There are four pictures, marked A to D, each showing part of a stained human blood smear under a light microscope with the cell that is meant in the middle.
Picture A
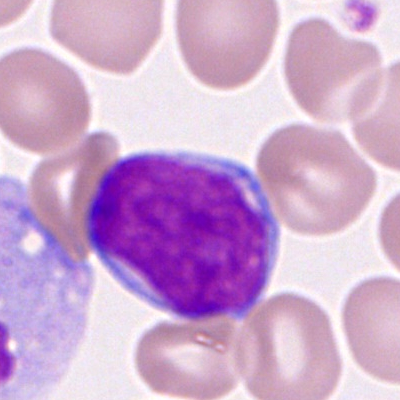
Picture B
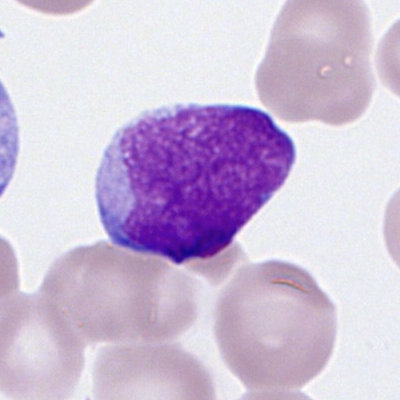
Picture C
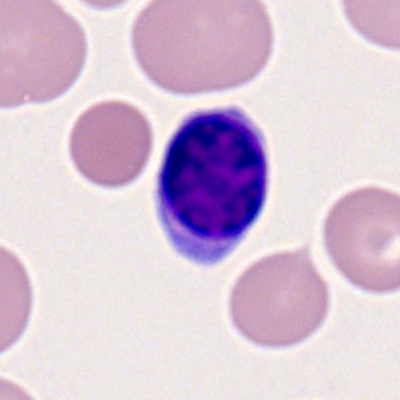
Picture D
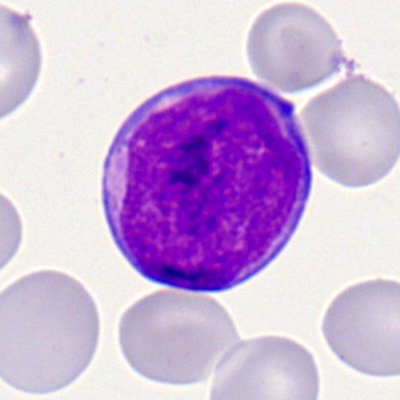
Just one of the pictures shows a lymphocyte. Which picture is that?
C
